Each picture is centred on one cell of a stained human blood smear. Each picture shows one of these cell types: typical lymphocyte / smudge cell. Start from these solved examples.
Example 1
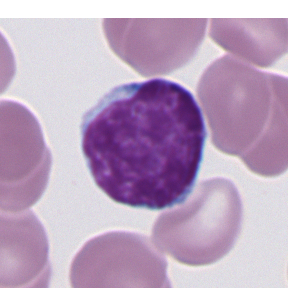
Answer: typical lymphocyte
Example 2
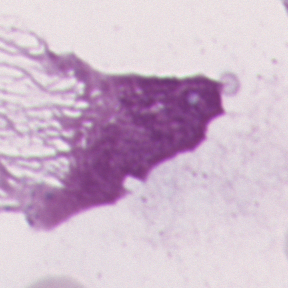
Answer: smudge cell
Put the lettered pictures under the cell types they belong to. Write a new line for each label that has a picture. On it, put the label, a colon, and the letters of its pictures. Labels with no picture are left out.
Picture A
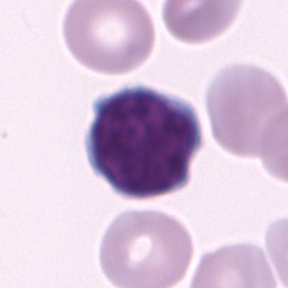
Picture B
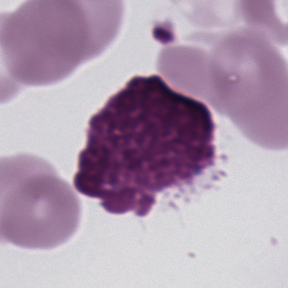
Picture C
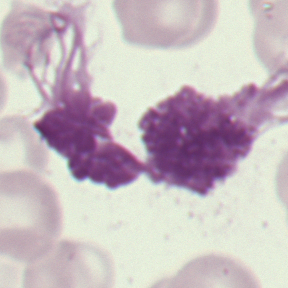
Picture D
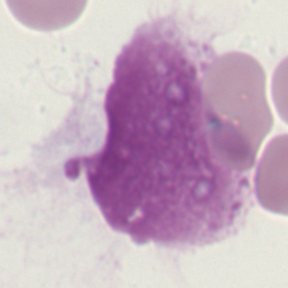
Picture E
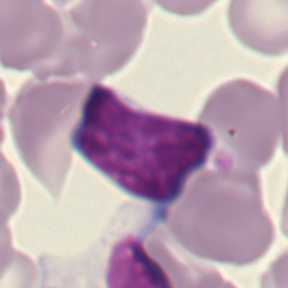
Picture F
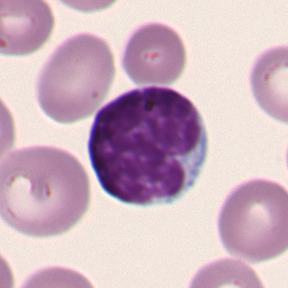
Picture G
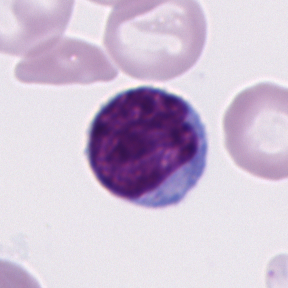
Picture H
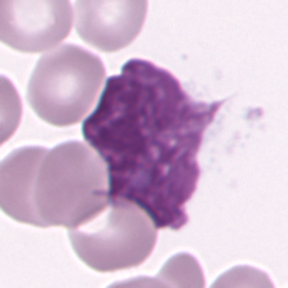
typical lymphocyte: A, E, F, G
smudge cell: B, C, D, H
